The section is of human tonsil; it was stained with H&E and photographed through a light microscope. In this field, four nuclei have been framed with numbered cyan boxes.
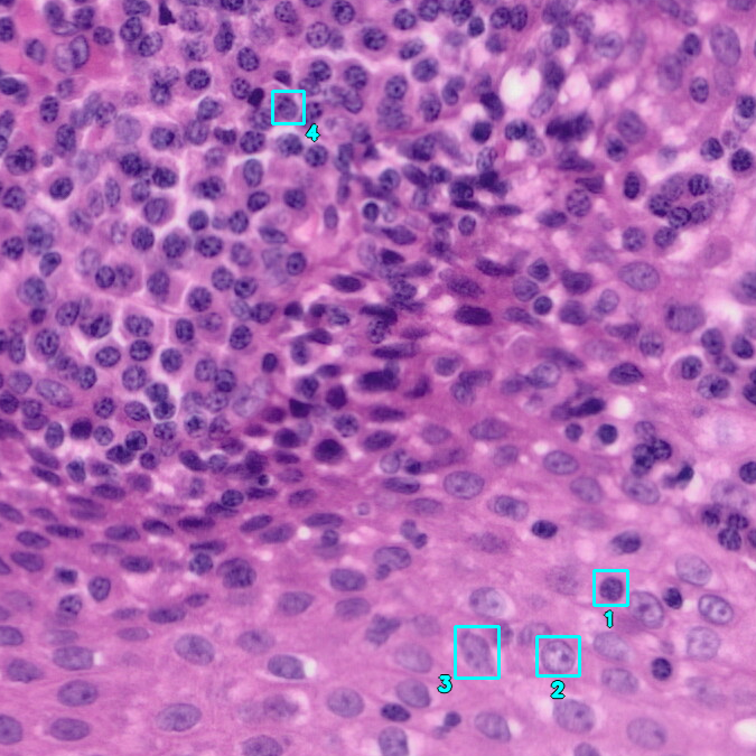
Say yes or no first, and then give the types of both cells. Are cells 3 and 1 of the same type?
Yes, cells 3 and 1 are squamous epithelial cells, both of them.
